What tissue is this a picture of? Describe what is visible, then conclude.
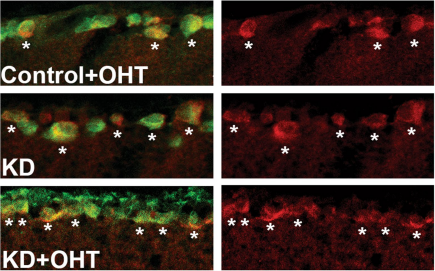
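A single row of rounded cell bodies lies along one edge of the section. Beneath the row lies a finely textured, cell-poor layer. The answer: inner retina.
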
